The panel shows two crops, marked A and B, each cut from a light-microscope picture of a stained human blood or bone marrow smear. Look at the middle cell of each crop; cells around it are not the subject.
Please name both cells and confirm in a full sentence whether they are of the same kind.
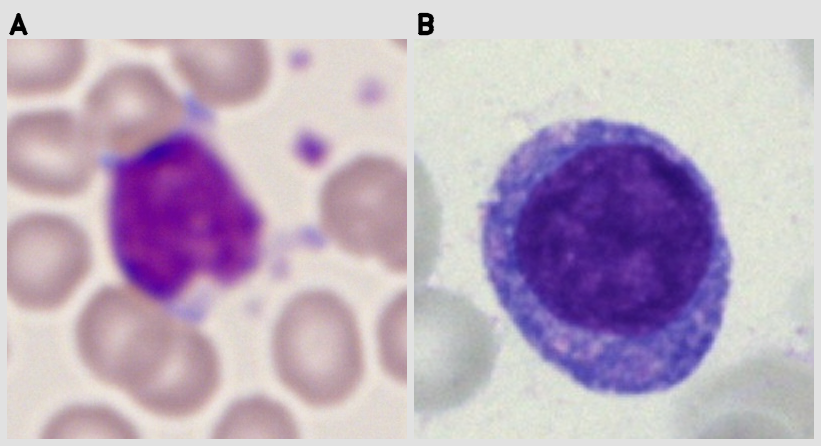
No: a lymphocyte sits in crop A, and a blast sits in crop B.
